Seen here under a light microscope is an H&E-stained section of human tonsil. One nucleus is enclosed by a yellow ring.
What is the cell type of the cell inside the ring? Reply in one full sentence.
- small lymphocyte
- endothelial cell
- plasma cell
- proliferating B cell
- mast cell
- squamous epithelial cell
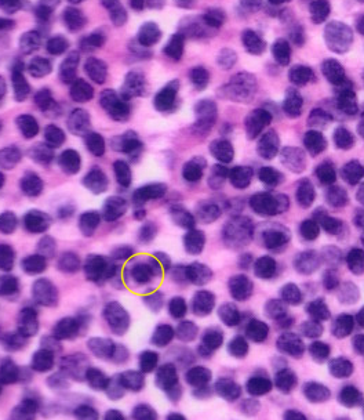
Speaking plainly, the cell inside the ring is nothing other than a small lymphocyte.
